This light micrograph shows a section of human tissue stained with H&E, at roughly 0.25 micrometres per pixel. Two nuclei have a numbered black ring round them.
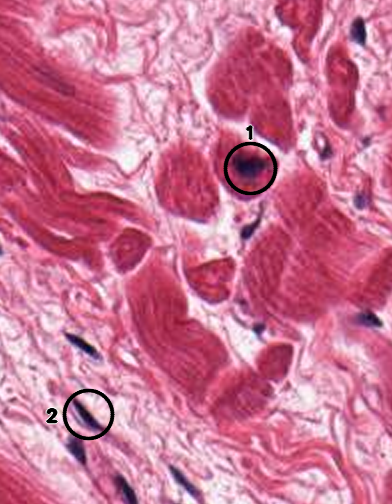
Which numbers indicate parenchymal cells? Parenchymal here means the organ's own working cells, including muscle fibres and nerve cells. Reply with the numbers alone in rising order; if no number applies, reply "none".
1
